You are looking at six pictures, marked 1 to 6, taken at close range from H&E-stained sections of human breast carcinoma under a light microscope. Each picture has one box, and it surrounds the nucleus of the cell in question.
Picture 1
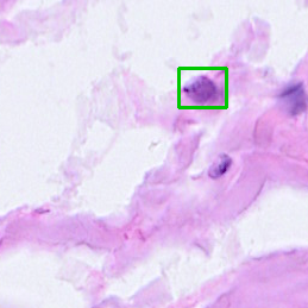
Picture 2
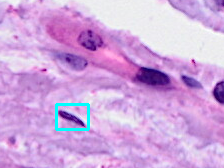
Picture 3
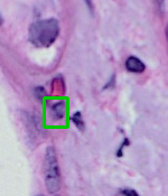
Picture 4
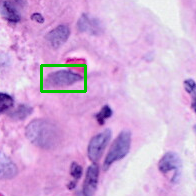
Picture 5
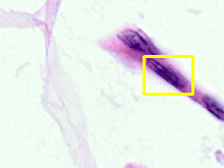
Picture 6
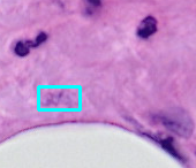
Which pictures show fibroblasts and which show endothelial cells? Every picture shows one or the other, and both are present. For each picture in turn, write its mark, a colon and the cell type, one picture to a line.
1: fibroblast
2: fibroblast
3: endothelial cell
4: endothelial cell
5: endothelial cell
6: fibroblast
